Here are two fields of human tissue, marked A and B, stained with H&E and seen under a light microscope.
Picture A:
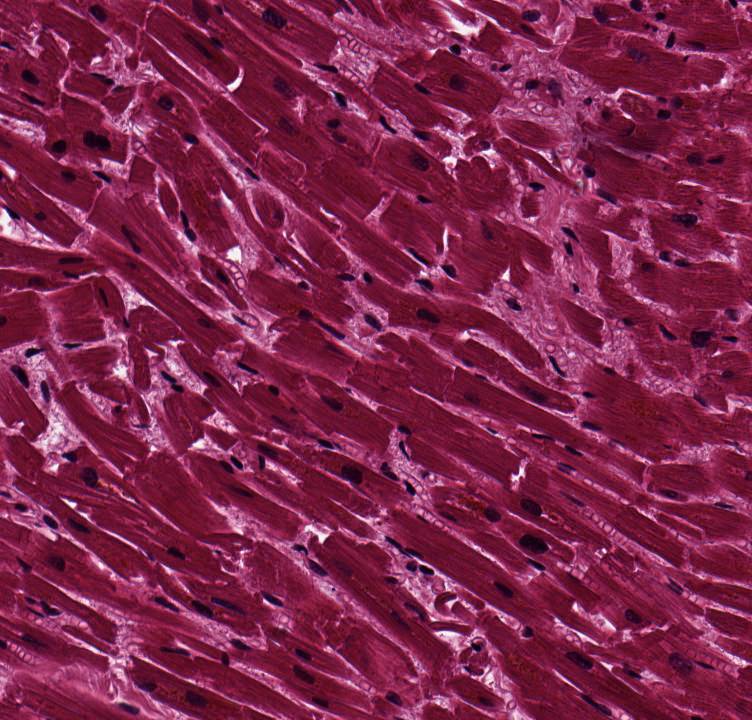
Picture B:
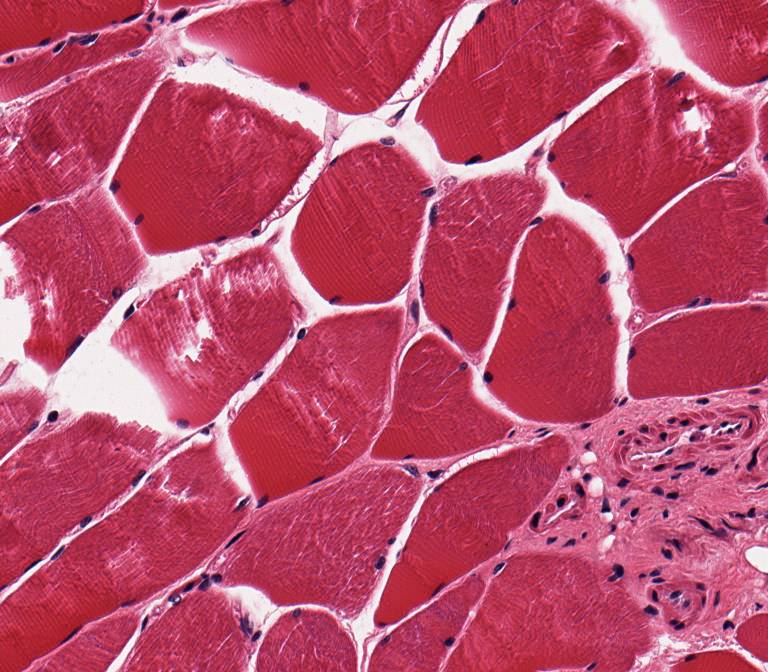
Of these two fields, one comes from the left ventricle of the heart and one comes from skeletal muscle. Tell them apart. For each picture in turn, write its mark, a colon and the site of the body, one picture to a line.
A: left ventricle of the heart
B: skeletal muscle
